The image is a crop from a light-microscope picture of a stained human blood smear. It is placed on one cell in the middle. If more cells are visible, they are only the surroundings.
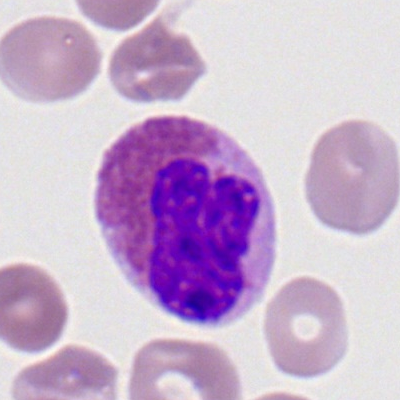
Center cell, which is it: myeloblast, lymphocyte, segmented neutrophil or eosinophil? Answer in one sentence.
What the crop centres on is an eosinophil.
